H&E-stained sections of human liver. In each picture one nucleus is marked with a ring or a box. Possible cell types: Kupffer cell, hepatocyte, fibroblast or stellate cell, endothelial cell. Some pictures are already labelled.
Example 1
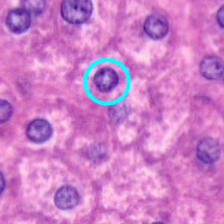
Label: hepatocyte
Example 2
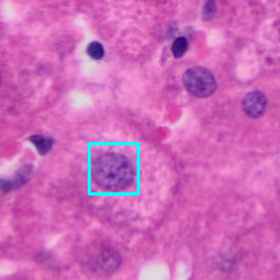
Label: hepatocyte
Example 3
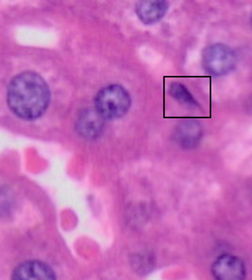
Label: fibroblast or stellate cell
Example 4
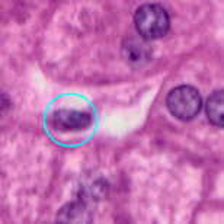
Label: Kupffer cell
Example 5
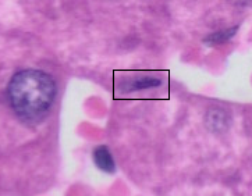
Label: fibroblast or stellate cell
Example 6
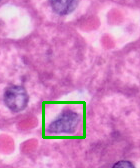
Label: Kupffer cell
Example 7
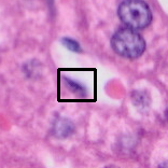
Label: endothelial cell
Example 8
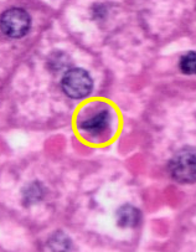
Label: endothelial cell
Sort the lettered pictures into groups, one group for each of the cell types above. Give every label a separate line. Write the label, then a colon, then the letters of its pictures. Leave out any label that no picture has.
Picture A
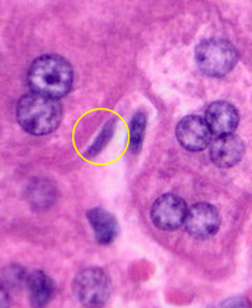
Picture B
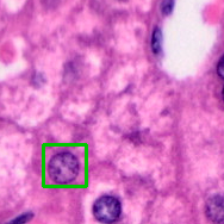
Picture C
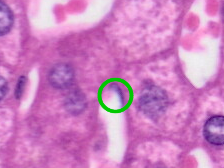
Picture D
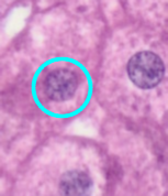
Kupffer cell: A
hepatocyte: B, D
endothelial cell: C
